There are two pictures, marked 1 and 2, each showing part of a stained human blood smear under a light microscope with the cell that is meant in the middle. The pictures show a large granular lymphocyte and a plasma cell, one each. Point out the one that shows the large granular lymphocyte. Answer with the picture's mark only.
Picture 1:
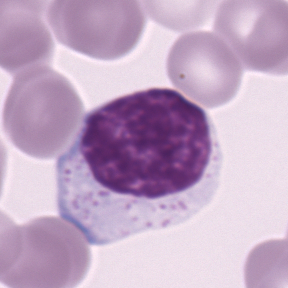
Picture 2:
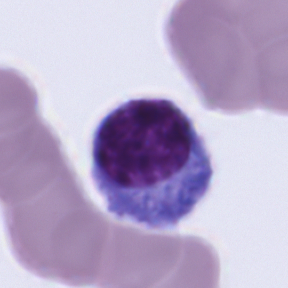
1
